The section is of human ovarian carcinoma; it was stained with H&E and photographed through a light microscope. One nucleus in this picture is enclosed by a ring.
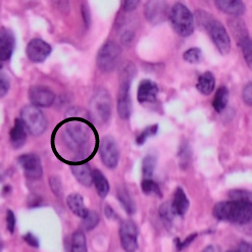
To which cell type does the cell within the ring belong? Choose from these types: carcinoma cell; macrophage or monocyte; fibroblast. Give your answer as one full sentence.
In this tissue sample, the cell within the ring is a carcinoma cell.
